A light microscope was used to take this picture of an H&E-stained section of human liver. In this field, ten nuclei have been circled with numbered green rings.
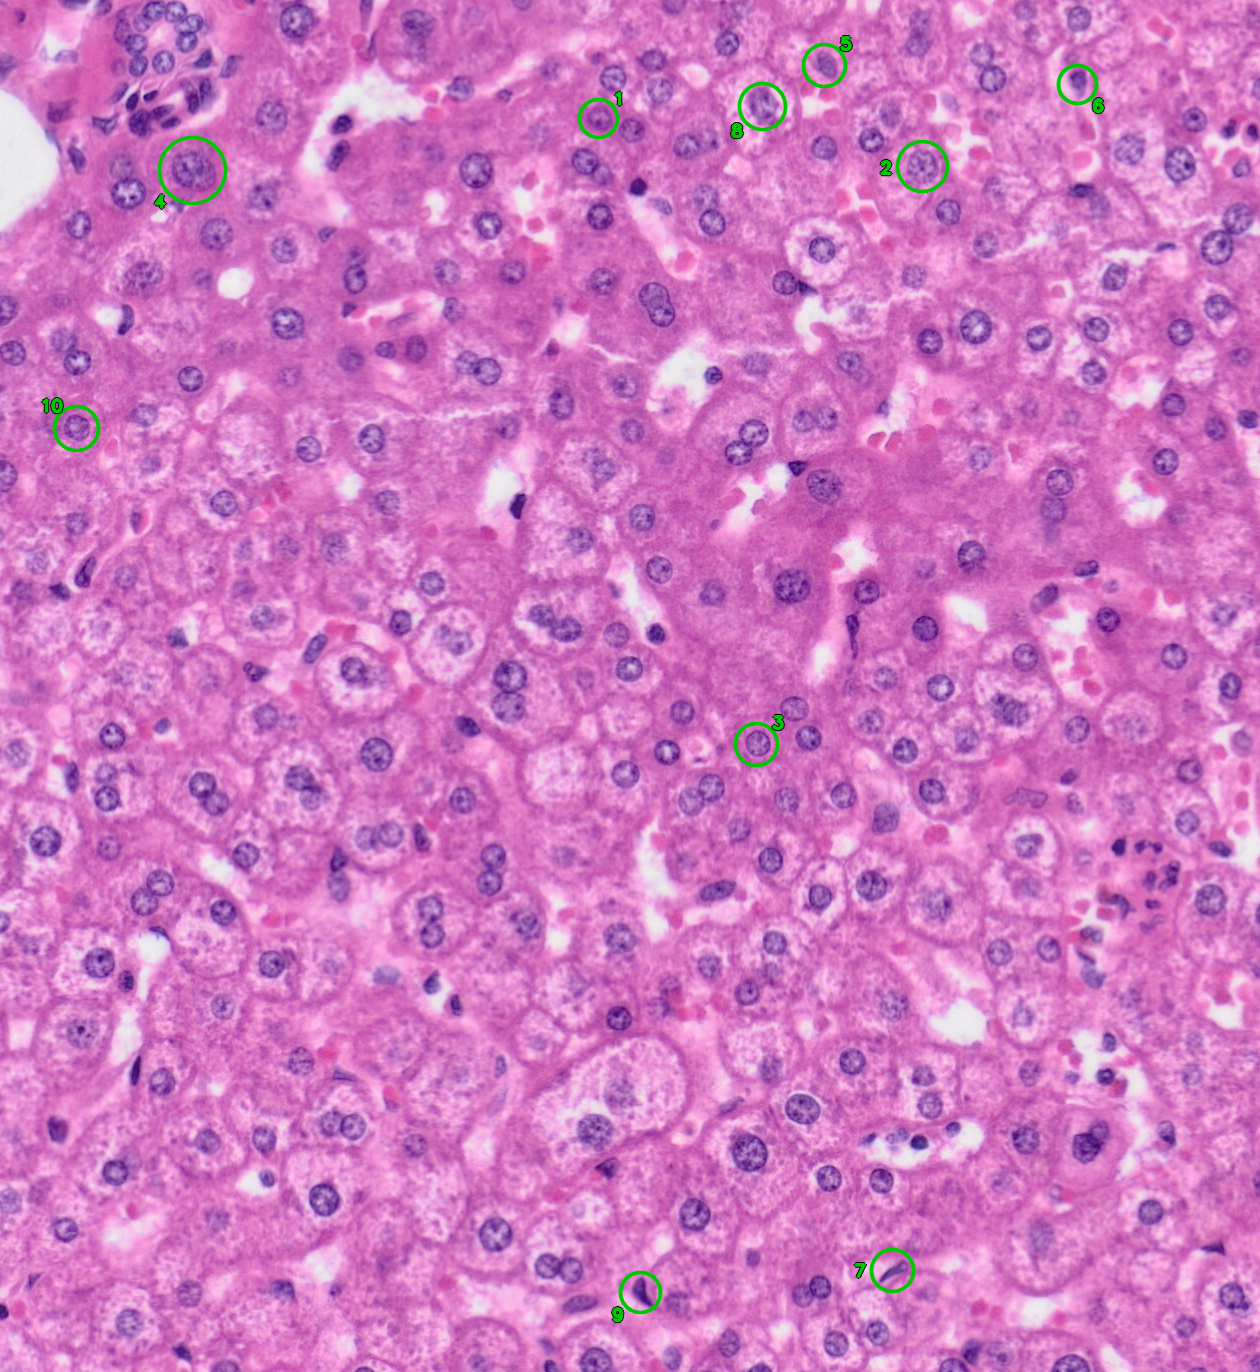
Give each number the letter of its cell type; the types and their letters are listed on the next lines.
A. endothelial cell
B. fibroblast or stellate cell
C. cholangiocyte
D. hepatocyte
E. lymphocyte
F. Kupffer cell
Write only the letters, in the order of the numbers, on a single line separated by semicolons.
D; D; D; D; A; F; A; D; B; D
